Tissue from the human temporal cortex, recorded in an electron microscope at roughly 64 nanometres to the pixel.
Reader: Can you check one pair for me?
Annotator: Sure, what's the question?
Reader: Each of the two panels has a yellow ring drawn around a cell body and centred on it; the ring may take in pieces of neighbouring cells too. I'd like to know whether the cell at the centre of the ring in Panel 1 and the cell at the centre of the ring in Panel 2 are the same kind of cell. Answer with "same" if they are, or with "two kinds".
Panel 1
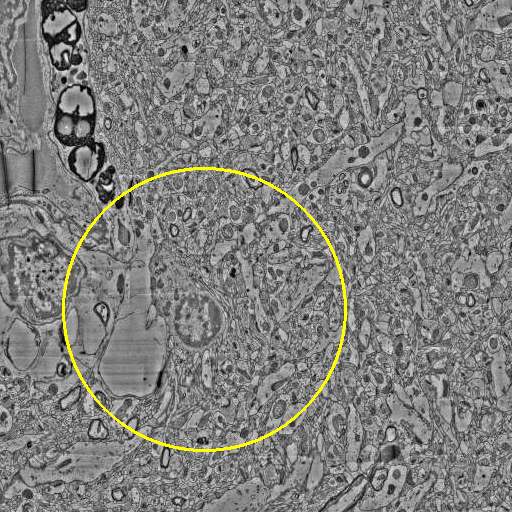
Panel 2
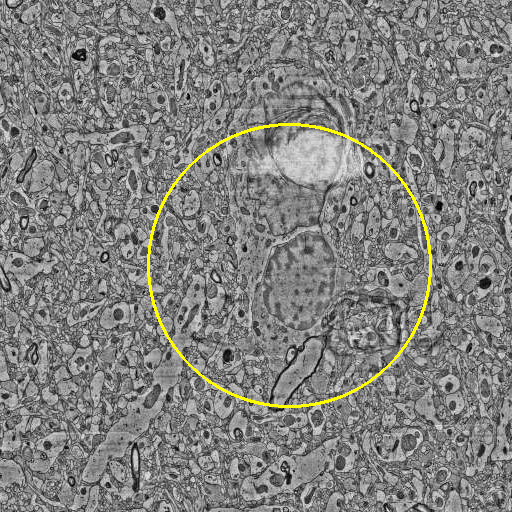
same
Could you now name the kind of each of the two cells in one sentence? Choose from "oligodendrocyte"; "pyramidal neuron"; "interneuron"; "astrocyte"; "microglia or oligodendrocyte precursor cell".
Each cell at the centre of a ring is an oligodendrocyte.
